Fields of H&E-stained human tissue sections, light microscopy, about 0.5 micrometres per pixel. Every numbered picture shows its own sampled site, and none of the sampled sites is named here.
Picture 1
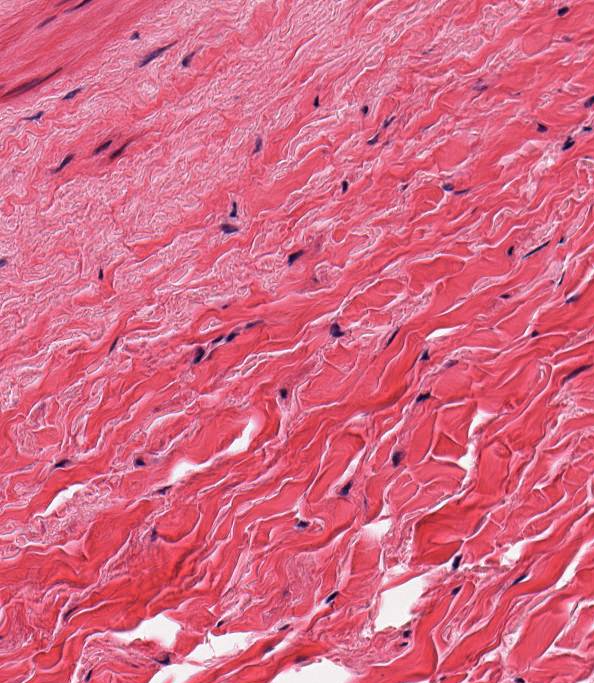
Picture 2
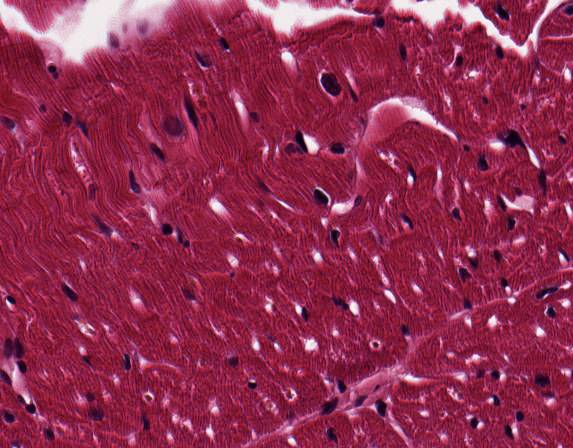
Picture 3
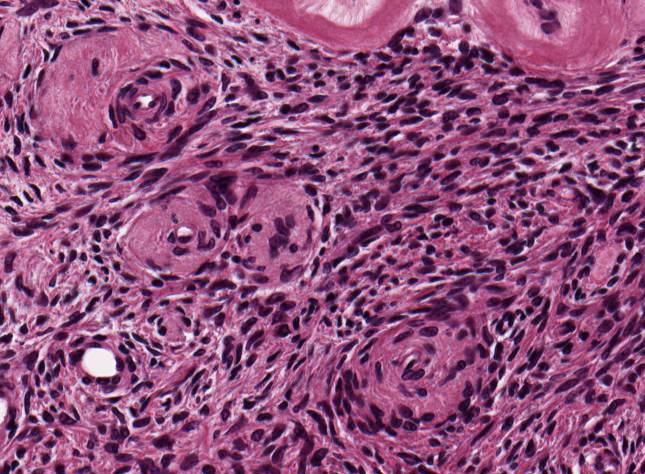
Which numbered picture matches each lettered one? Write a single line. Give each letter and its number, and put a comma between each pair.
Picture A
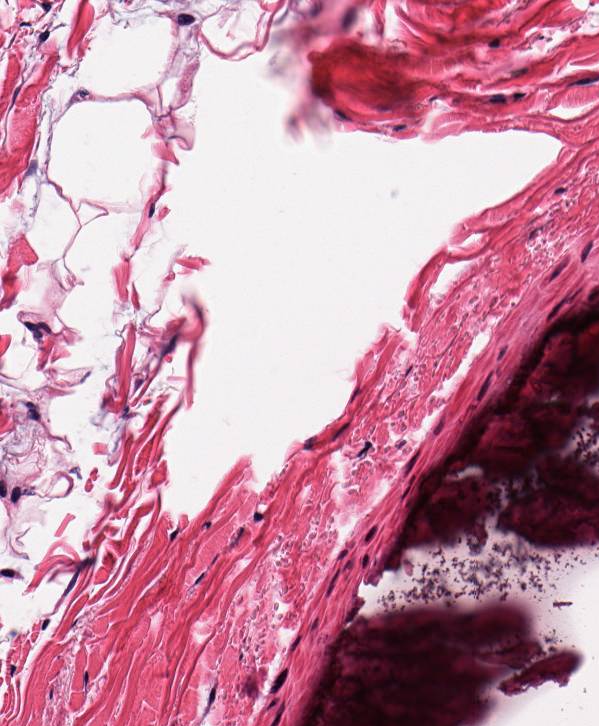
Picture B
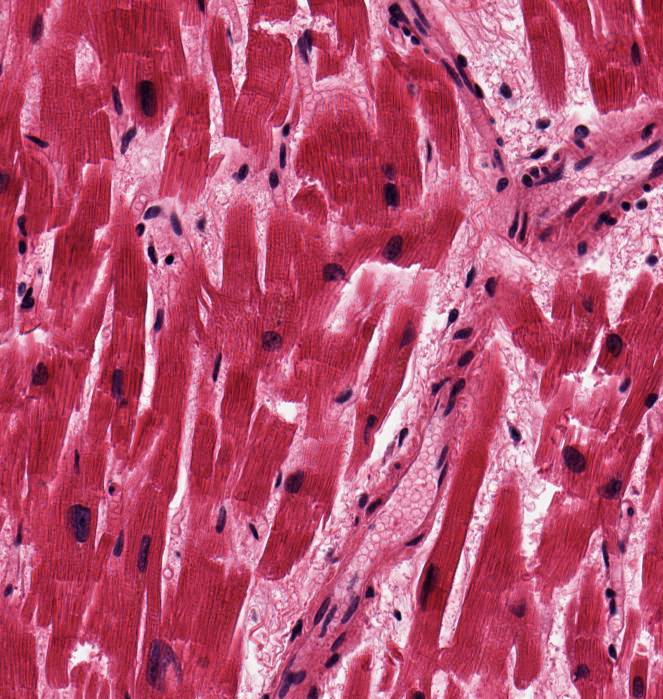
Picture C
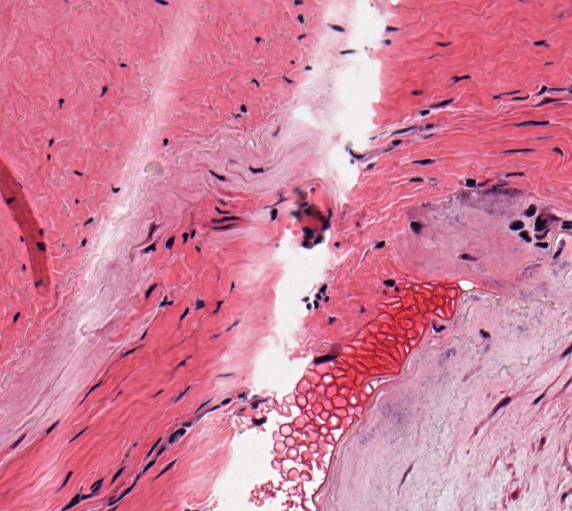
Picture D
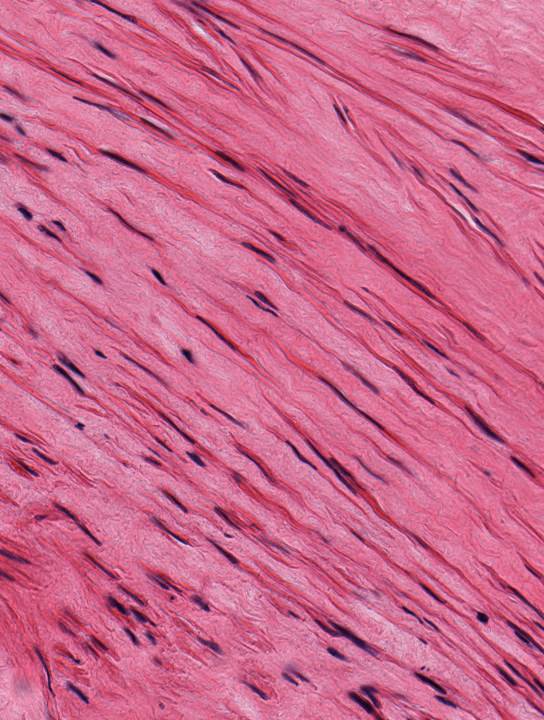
A 1, B 2, C 1, D 1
